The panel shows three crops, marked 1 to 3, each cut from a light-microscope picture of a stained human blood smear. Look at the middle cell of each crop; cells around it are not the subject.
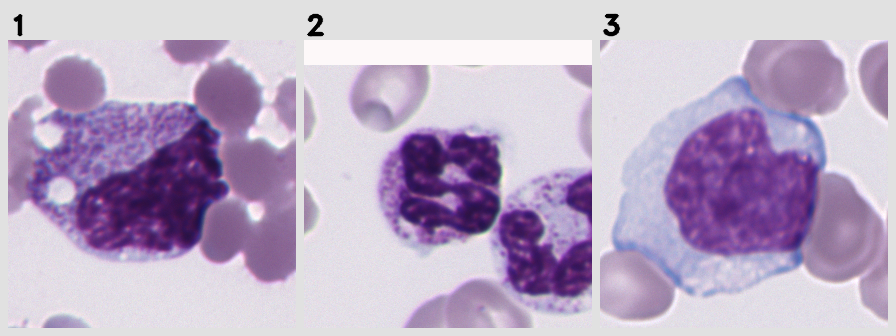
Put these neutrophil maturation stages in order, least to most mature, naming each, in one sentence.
Ordered from the youngest stage to the most mature, the crops are crop 3 (a myeloblast), crop 1 (a myelocyte) and crop 2 (a segmented neutrophil).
